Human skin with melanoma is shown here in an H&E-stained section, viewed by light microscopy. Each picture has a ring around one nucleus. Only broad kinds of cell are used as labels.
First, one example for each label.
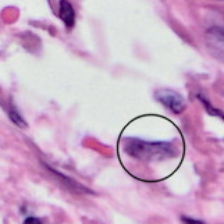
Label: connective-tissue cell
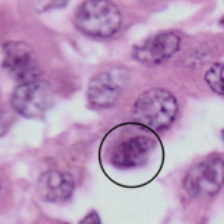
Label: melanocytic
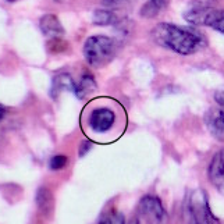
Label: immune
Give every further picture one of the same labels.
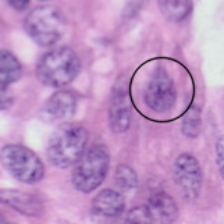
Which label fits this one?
melanocytic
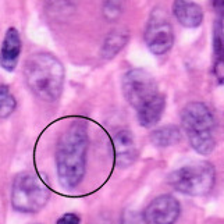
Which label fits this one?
melanocytic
